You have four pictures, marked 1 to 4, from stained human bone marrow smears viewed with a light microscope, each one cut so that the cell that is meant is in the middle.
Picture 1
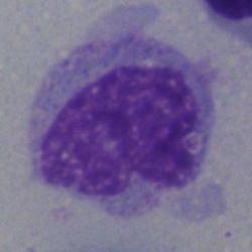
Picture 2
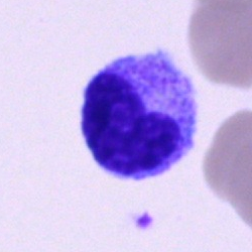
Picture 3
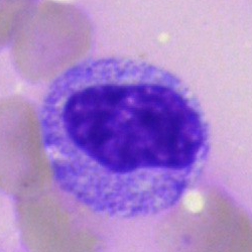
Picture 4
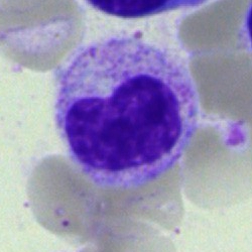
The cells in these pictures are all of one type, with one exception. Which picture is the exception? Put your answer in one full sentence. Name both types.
Picture 1 is the odd one out: it shows a monocyte, while the others show metamyelocytes.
